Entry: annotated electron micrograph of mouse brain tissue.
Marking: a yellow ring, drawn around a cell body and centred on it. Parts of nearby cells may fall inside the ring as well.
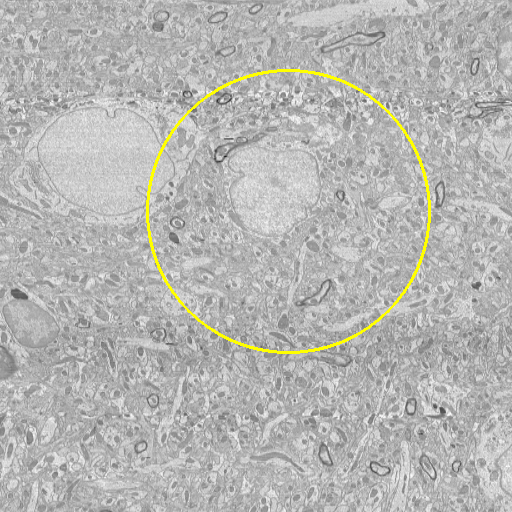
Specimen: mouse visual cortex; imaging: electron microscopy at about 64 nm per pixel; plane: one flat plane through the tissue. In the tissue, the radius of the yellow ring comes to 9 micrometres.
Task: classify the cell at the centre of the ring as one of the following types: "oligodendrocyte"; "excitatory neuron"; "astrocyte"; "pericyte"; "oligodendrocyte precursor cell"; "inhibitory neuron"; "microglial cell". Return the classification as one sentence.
The marked cell is classified as an astrocyte.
